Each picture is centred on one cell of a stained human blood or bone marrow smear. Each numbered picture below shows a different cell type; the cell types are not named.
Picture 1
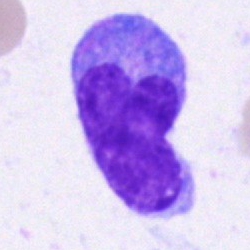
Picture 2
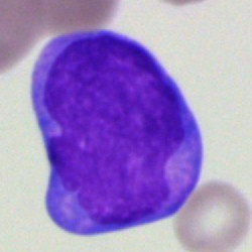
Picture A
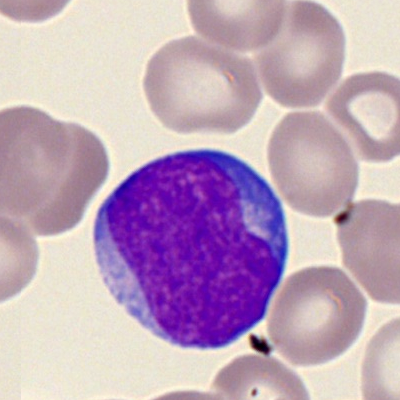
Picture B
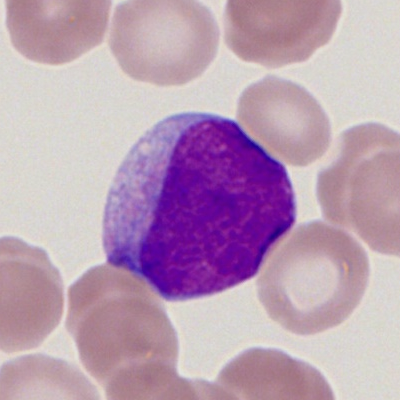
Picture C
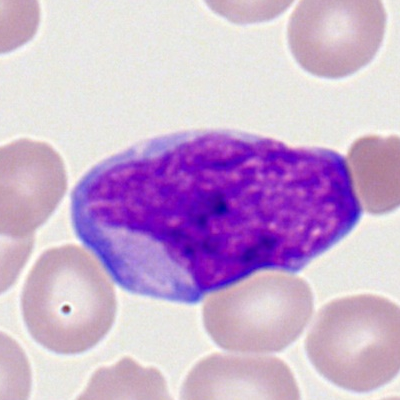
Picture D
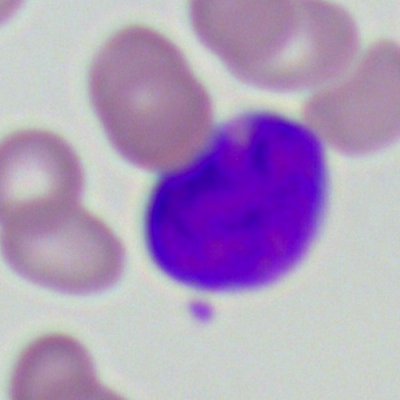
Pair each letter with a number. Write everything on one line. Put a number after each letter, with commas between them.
A 2, B 2, C 2, D 2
